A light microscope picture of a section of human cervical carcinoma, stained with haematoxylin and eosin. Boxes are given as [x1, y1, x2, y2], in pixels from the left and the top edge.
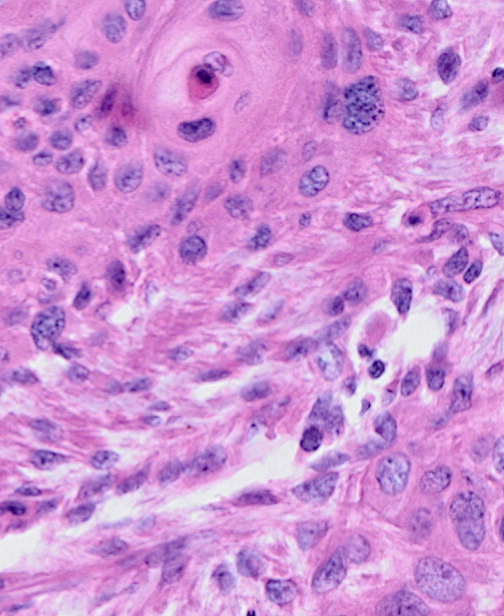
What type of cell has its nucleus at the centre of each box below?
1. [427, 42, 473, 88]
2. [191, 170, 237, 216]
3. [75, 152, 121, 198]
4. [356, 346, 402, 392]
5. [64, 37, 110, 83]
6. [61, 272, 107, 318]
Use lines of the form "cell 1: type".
cell 1: macrophage or monocyte
cell 2: squamous carcinoma cell
cell 3: squamous carcinoma cell
cell 4: lymphocyte
cell 5: squamous carcinoma cell
cell 6: squamous carcinoma cell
